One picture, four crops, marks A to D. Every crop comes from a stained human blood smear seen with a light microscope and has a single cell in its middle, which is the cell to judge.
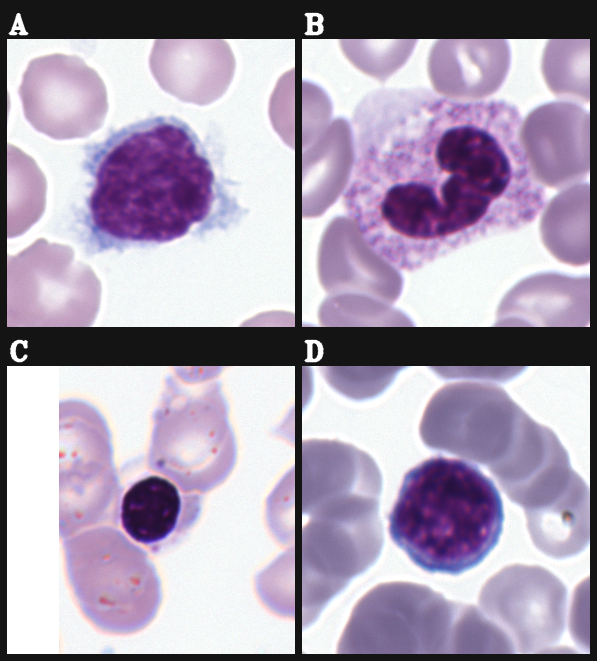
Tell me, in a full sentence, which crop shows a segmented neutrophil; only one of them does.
Crop B matches the request, showing a segmented neutrophil.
